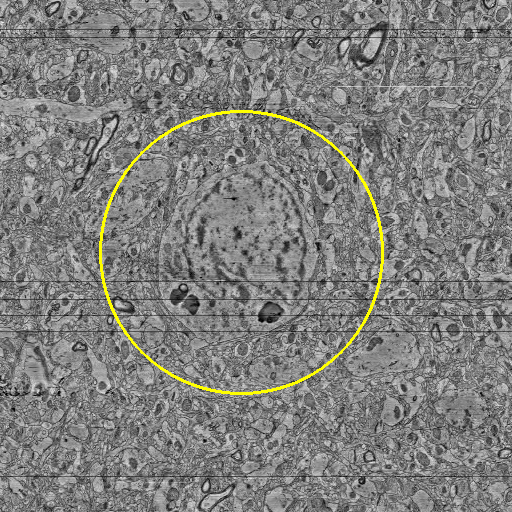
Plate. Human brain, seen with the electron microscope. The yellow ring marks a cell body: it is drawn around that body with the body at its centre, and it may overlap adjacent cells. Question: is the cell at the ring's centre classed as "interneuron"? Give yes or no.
yes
